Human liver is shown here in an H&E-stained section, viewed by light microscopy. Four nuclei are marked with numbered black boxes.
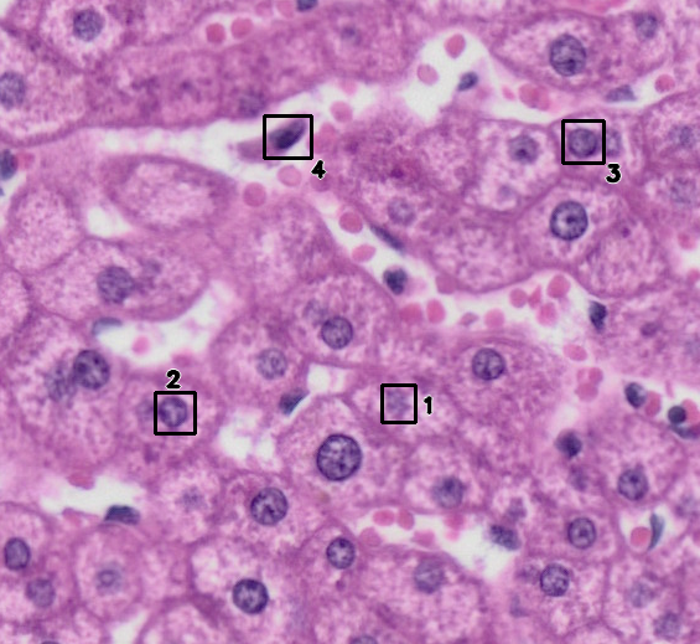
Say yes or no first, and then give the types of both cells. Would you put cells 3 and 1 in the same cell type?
Yes, cells 3 and 1 are both counted as hepatocytes.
